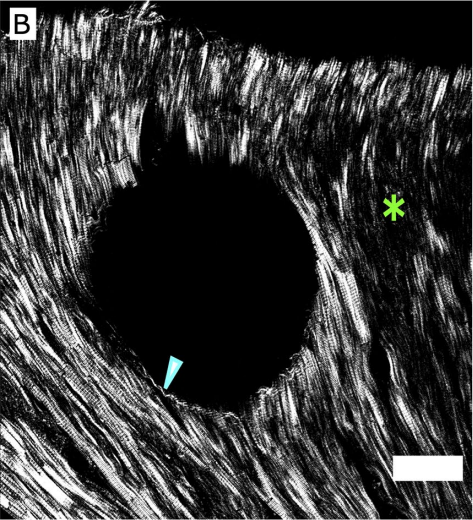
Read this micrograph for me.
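Long bright muscle fibers with regular cross-striations sweep around a large round dark hole, a blood vessel. The fibers mostly lie flat in the plane of view, so their banding is clear over most of the field. In one region to the right the fibers appear shorter and more fragmented, where they leave the plane. A thin rim of different, non-striated material borders the vessel.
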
